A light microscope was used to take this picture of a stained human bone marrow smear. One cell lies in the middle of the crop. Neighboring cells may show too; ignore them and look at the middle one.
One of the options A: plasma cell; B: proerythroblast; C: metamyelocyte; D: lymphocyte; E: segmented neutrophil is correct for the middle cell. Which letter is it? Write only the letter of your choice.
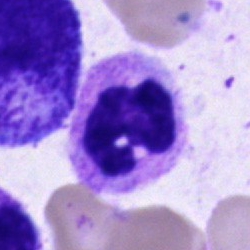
E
